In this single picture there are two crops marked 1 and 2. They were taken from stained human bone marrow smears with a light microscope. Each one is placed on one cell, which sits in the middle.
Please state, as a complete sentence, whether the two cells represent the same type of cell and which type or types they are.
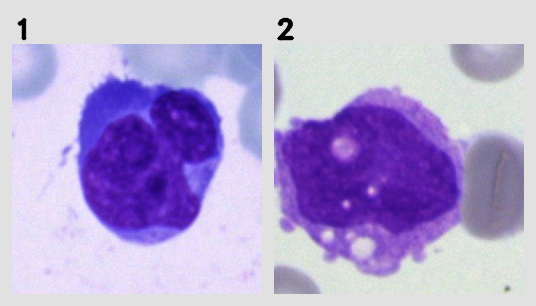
No, crop 1 is of a blast, and crop 2 is of a monocyte.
